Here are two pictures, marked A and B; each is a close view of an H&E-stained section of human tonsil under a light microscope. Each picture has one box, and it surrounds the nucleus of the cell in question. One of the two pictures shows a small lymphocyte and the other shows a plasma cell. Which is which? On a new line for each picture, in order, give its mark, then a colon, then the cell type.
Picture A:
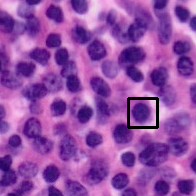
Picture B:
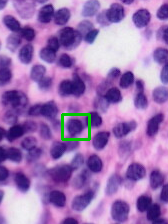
A: plasma cell
B: small lymphocyte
